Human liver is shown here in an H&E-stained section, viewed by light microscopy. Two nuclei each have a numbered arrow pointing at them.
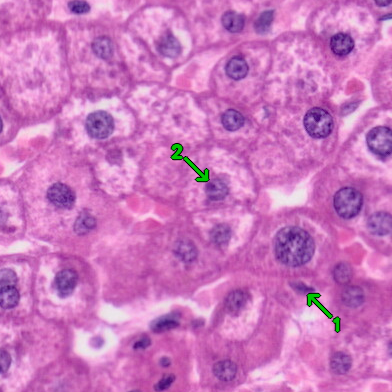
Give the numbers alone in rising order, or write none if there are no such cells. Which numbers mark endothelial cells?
1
